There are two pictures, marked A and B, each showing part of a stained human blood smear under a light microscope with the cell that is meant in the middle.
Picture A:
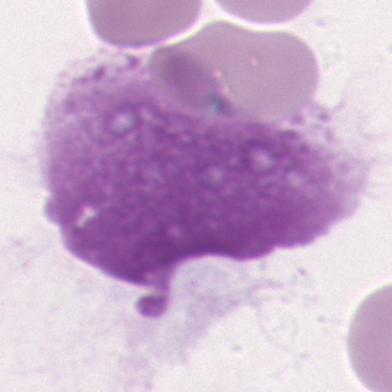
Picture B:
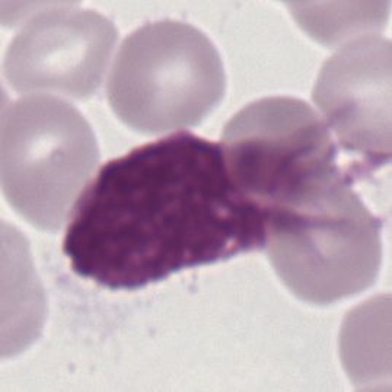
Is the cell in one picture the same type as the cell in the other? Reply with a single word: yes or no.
yes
